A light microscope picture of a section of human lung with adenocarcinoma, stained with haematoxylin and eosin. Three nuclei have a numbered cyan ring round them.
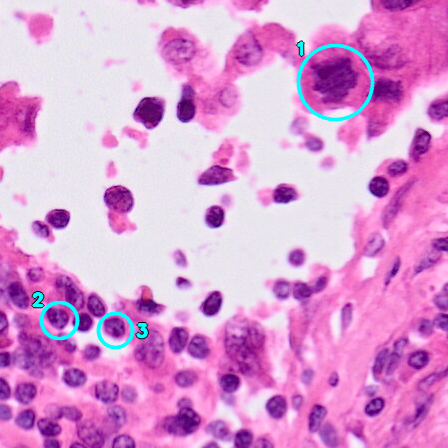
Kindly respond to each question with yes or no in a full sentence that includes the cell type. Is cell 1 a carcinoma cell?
Yes, with respect to number 1, the cell is a carcinoma cell.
